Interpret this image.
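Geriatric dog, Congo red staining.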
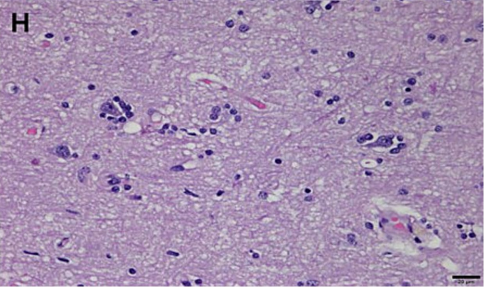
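Scattered through it are small dark nuclei, and in several places these nuclei gather into tight clusters. Some larger cells with paler cytoplasm sit among the clusters. Small vessels containing pink red blood cells are visible in the field.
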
